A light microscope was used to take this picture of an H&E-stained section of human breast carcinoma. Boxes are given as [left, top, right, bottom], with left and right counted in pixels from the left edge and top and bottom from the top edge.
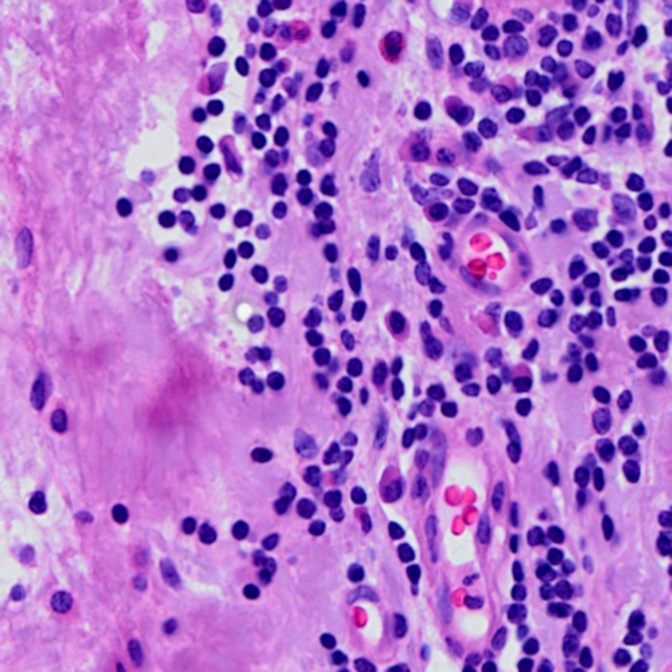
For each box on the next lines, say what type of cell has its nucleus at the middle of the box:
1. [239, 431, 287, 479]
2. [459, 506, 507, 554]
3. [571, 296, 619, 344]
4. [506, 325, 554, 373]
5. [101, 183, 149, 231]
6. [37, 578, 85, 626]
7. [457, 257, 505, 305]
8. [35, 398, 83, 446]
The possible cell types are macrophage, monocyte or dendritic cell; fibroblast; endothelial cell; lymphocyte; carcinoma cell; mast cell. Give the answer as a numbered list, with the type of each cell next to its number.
1. lymphocyte
2. endothelial cell
3. lymphocyte
4. lymphocyte
5. lymphocyte
6. mast cell
7. endothelial cell
8. mast cell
